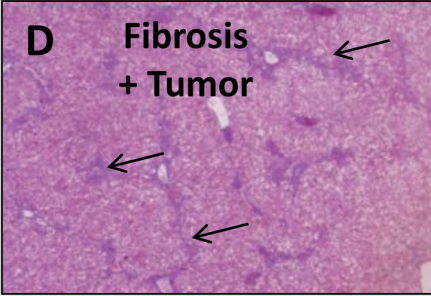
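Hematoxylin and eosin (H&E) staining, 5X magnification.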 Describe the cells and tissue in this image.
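This low-power view of liver shows pale pink liver tissue crossed by lymphocyte infiltrations. Scattered vessel openings appear as small white spaces, some with red-staining contents.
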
